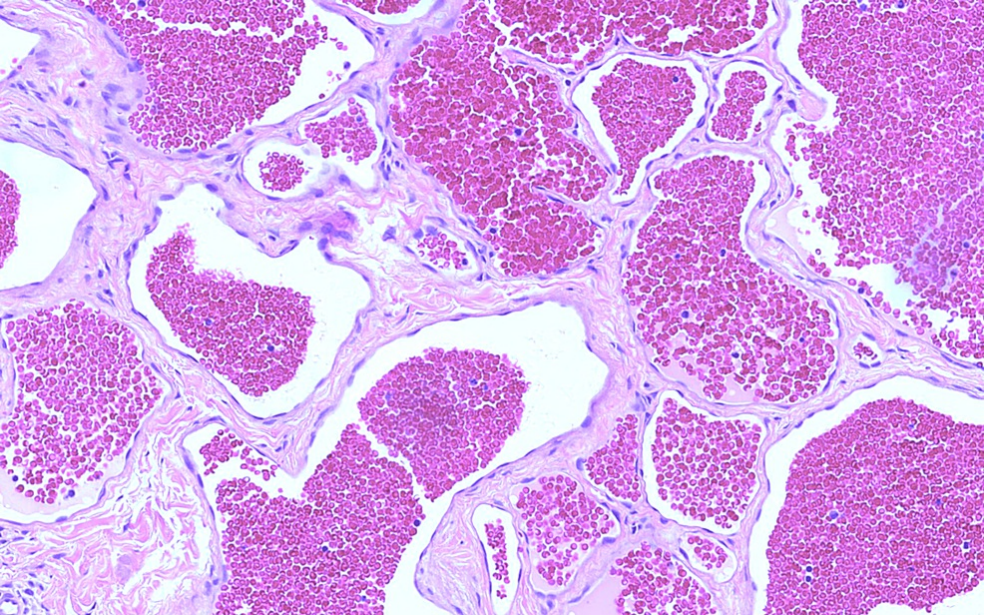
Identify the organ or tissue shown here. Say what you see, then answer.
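Thin pink fibrous bands run between the blood-filled spaces. The bands contain wavy fibres and scattered spindle-shaped nuclei. The answer: connective tissue septa.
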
